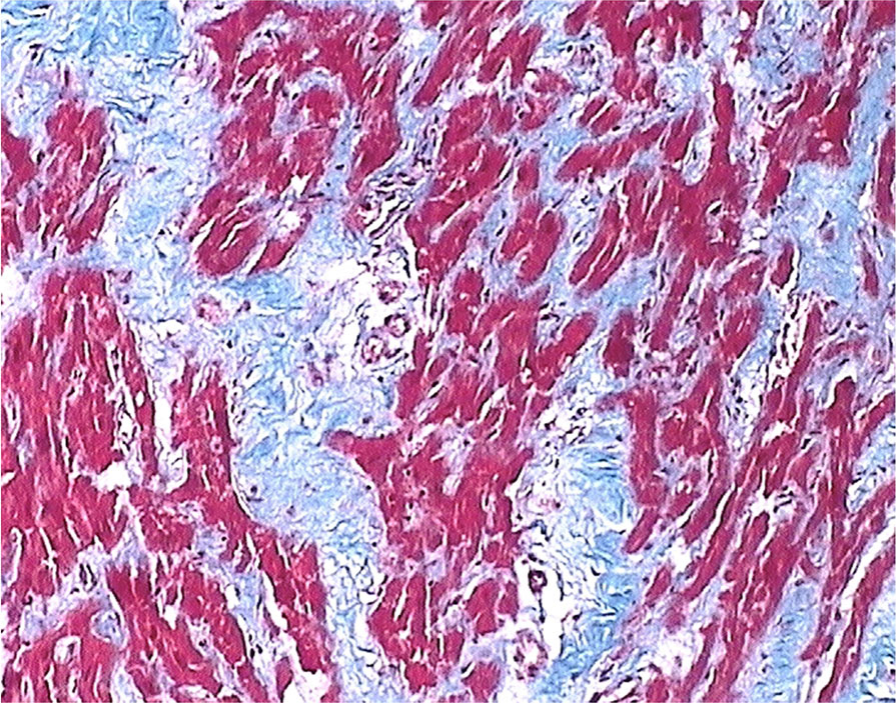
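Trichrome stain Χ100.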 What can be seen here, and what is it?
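This section of heart muscle shows bundles of red-stained cardiac muscle fibres broken up by patches of blue-staining fibrous tissue. The muscle fibres are elongated and branching, run in several directions, and have small dark nuclei. Broad bands and irregular islands of pale blue, wavy collagen lie between the muscle bundles, separating them into smaller groups. Finer blue strands also extend between and around single fibres, wrapping them individually. A few small blood vessels with dark nuclei can be seen within the fibrous areas, and no dense clusters of inflammatory cells are visible.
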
